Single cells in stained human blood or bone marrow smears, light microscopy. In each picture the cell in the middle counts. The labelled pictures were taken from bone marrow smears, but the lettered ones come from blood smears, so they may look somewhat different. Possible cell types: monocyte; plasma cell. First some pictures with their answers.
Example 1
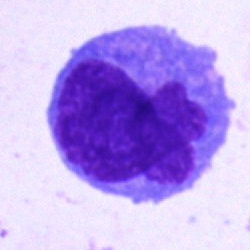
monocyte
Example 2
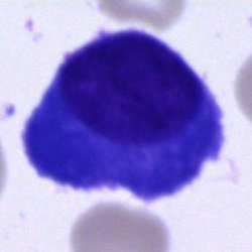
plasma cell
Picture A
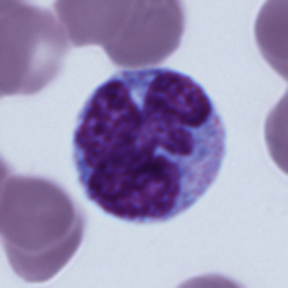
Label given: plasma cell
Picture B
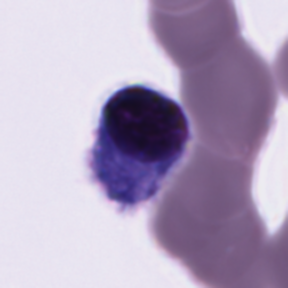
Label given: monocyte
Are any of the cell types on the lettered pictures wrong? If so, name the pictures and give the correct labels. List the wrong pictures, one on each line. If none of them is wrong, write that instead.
A: not plasma cell but monocyte
B: not monocyte but plasma cell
